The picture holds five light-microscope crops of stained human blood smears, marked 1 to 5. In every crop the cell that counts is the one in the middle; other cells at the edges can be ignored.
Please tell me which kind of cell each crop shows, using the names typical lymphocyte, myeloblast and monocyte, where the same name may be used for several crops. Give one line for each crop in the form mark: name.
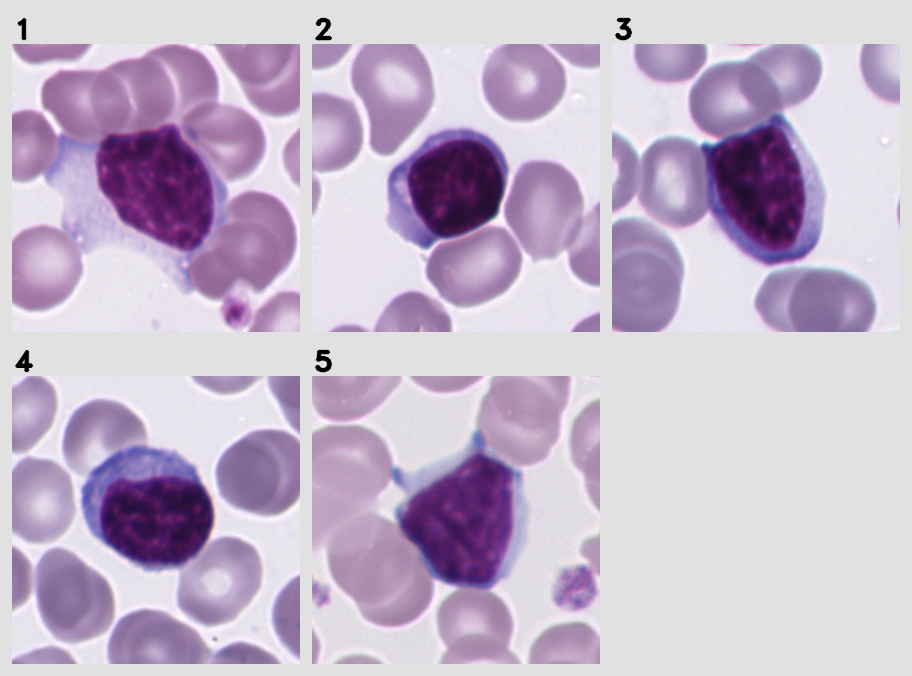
1: typical lymphocyte
2: typical lymphocyte
3: typical lymphocyte
4: typical lymphocyte
5: typical lymphocyte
